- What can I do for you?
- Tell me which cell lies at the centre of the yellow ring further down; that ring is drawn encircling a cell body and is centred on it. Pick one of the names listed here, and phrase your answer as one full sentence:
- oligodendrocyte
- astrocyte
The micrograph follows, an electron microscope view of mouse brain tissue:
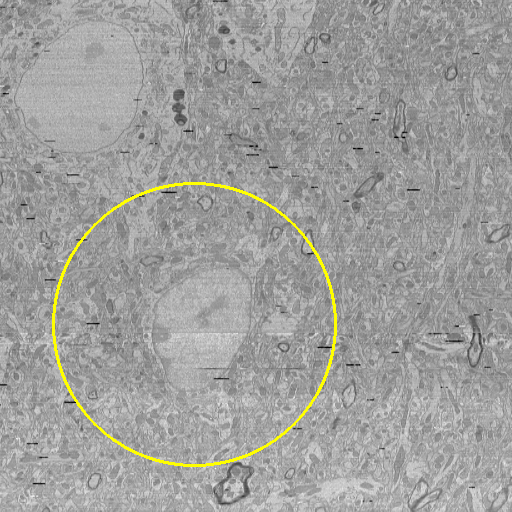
The cell whose body lies at the centre of the yellow ring is an astrocyte.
